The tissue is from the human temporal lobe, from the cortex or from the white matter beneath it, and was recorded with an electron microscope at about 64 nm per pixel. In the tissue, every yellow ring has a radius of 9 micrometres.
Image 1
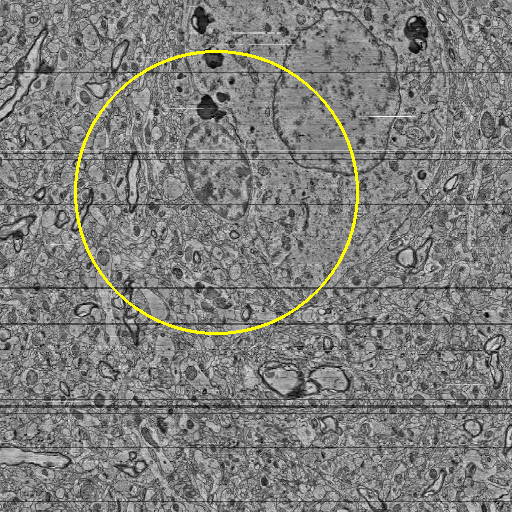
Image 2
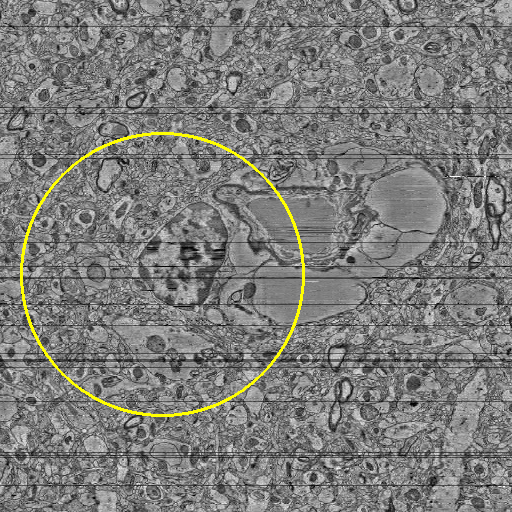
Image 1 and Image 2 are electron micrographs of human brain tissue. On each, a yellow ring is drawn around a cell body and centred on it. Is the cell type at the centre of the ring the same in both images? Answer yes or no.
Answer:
no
